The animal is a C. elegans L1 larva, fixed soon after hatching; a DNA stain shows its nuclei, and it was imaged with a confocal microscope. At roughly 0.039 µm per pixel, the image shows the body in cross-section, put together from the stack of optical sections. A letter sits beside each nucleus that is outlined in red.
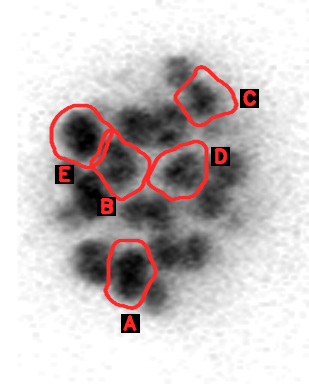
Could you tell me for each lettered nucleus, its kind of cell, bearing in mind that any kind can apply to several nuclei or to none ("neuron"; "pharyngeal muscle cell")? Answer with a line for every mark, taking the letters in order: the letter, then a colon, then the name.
A: neuron
B: pharyngeal muscle cell
C: neuron
D: pharyngeal muscle cell
E: neuron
